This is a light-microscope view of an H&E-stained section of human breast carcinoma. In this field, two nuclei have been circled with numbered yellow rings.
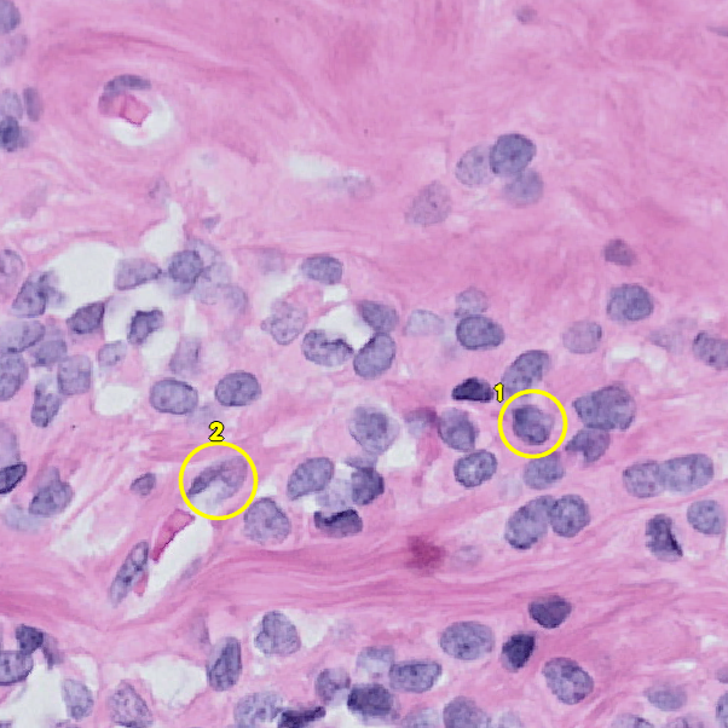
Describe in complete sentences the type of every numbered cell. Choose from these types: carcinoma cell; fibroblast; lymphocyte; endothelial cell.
Cell 1 is a carcinoma cell and cell 2 is an endothelial cell.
